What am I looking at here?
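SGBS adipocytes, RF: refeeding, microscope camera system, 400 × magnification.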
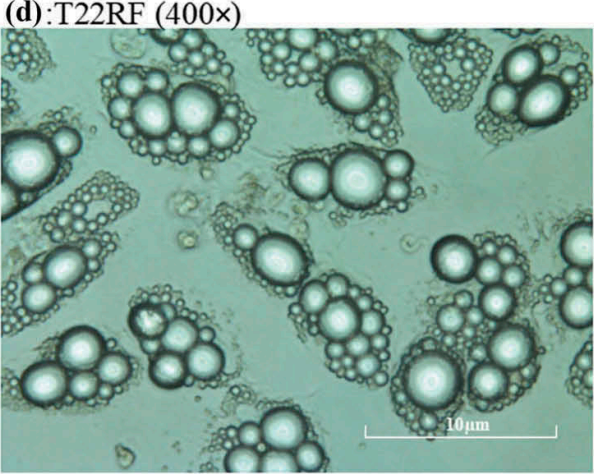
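Cells carry clusters of round, refractile droplets of markedly varied size: several cells hold one or two large droplets with thick dark rims and bright centres, surrounded by smaller droplets. Other cells contain only fine, small droplets in loose rings. The larger droplets bulge and crowd against one another within a cell. Cell borders are faint. Cells are spaced with pale background between them, and some small debris-like granular material lies in the gaps.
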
